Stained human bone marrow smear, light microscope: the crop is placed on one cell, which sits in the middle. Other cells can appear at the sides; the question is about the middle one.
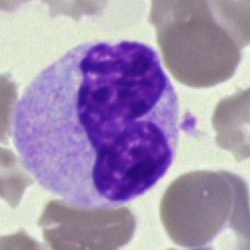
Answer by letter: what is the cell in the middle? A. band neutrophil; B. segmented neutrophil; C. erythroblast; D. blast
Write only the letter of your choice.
A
